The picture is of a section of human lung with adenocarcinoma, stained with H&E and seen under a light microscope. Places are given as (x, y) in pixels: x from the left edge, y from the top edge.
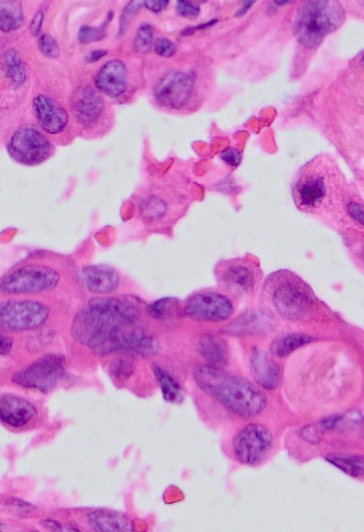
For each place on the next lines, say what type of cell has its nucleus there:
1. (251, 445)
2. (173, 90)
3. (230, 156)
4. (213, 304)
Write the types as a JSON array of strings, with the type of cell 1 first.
["carcinoma cell", "carcinoma cell", "lymphocyte", "carcinoma cell"]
